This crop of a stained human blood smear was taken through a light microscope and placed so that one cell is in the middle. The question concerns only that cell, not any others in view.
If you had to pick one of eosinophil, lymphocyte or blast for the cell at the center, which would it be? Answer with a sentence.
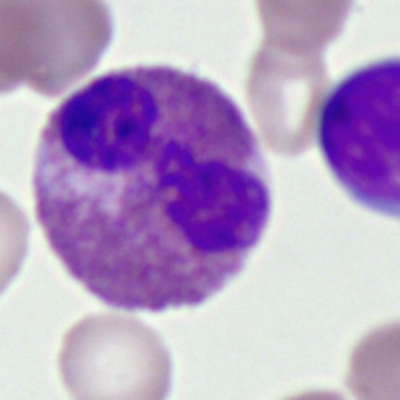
In the middle of this smear crop is an eosinophil.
